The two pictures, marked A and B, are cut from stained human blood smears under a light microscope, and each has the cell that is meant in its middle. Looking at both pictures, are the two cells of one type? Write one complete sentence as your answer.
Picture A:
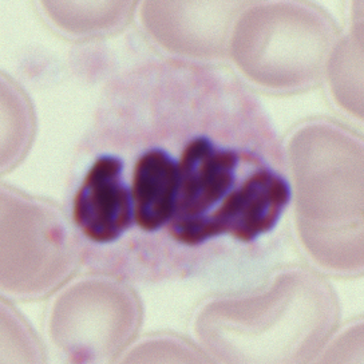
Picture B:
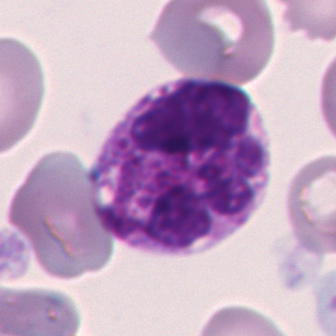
No, picture A shows a segmented neutrophil and picture B shows a basophil.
